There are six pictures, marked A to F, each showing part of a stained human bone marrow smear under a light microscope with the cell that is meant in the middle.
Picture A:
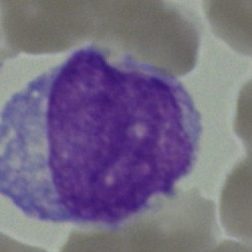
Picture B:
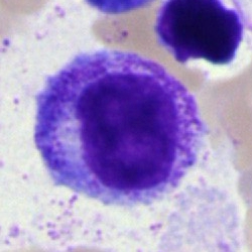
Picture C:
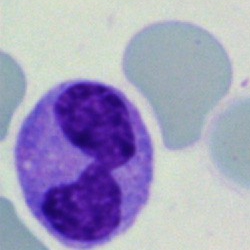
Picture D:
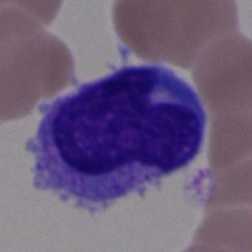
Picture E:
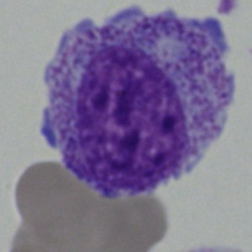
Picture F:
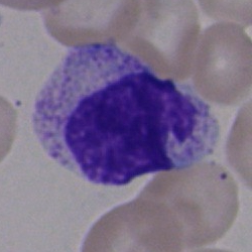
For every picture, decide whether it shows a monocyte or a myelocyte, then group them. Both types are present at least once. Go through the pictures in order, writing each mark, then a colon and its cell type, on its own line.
A: monocyte
B: myelocyte
C: monocyte
D: monocyte
E: myelocyte
F: myelocyte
